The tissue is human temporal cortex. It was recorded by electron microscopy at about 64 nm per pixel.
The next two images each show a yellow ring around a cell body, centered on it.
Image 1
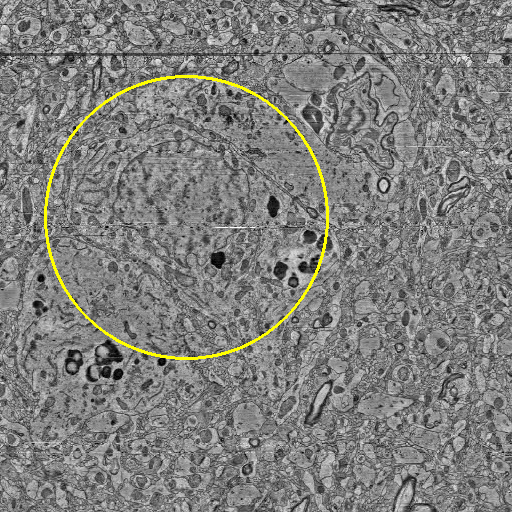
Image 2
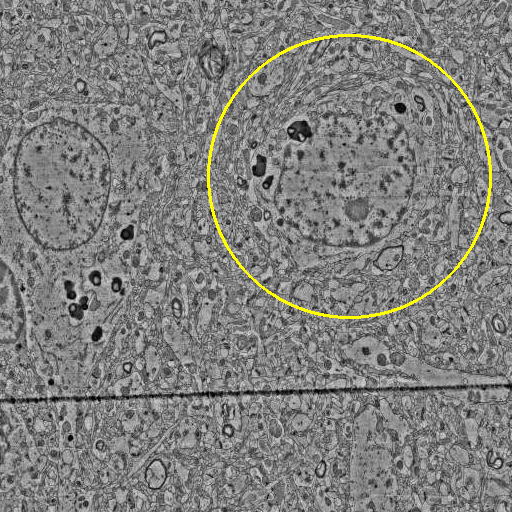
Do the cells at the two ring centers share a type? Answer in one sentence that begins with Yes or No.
Yes, across the two images the cells at the ring centers share one type.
